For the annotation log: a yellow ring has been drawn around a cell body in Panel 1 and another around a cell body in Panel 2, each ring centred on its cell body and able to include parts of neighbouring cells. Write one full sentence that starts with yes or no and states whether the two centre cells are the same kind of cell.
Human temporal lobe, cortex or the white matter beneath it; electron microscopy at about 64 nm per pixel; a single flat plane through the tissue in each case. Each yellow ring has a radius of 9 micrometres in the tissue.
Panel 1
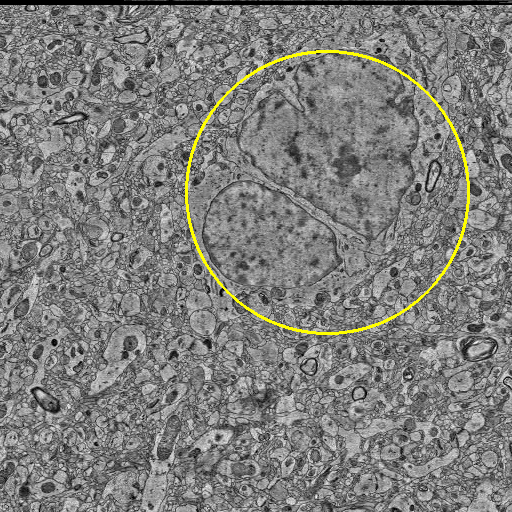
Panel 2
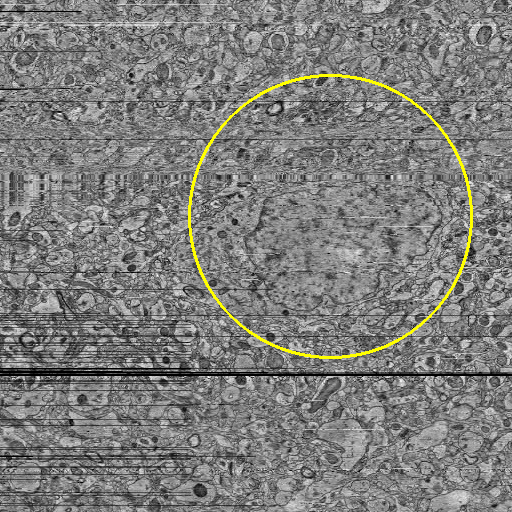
Yes, the two centre cells are the same kind of cell.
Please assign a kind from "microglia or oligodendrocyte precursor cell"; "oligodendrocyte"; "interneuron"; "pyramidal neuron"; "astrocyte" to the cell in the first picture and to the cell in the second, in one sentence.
Each of the ringed cells, first and second, is an interneuron.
